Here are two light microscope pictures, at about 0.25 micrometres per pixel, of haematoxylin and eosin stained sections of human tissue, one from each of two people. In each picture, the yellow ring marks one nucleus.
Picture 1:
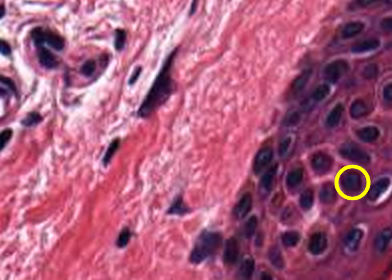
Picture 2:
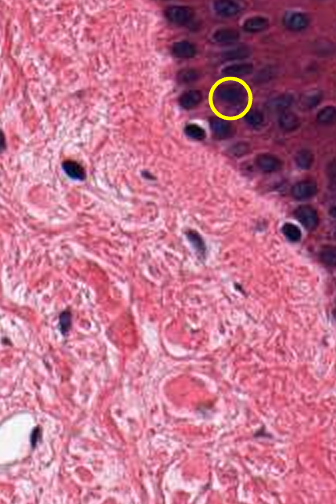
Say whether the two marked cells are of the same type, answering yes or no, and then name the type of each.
Yes, both are keratinocytes.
